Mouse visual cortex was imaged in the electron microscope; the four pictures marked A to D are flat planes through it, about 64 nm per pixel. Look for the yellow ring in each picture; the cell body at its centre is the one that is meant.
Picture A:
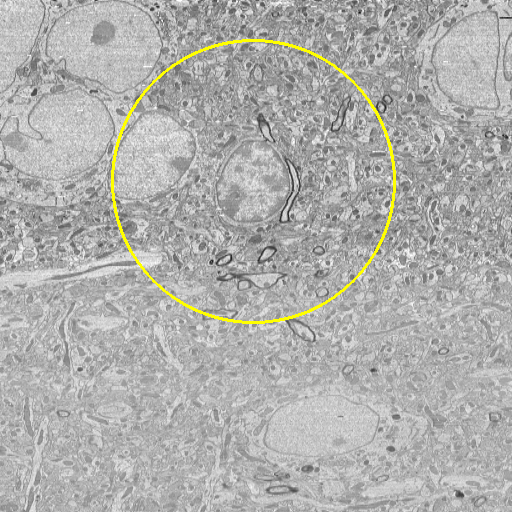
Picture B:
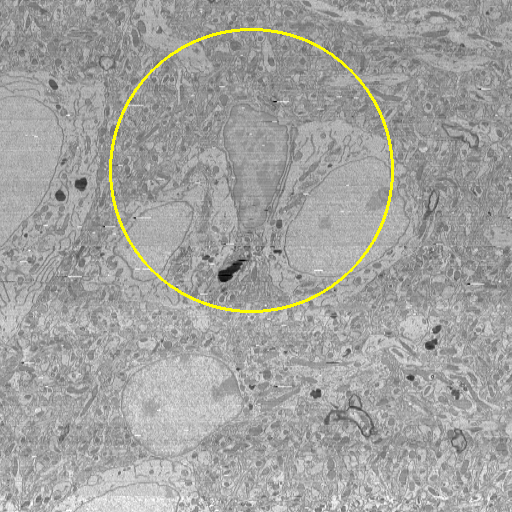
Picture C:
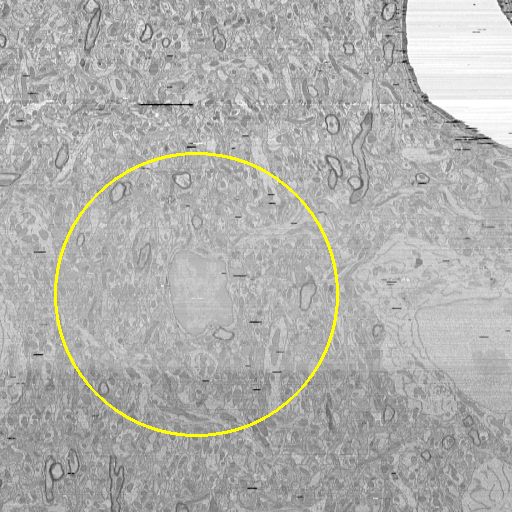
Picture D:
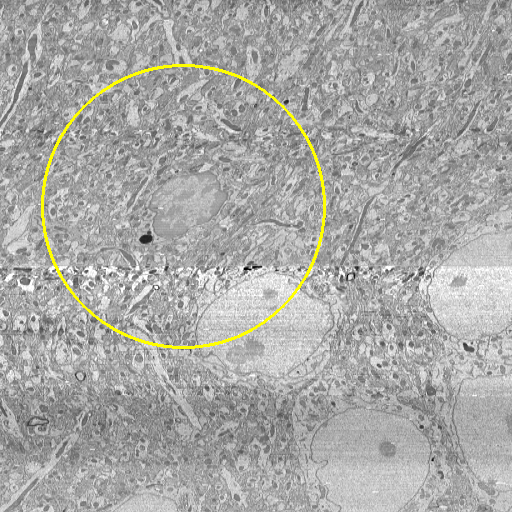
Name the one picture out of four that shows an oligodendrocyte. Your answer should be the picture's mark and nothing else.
A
